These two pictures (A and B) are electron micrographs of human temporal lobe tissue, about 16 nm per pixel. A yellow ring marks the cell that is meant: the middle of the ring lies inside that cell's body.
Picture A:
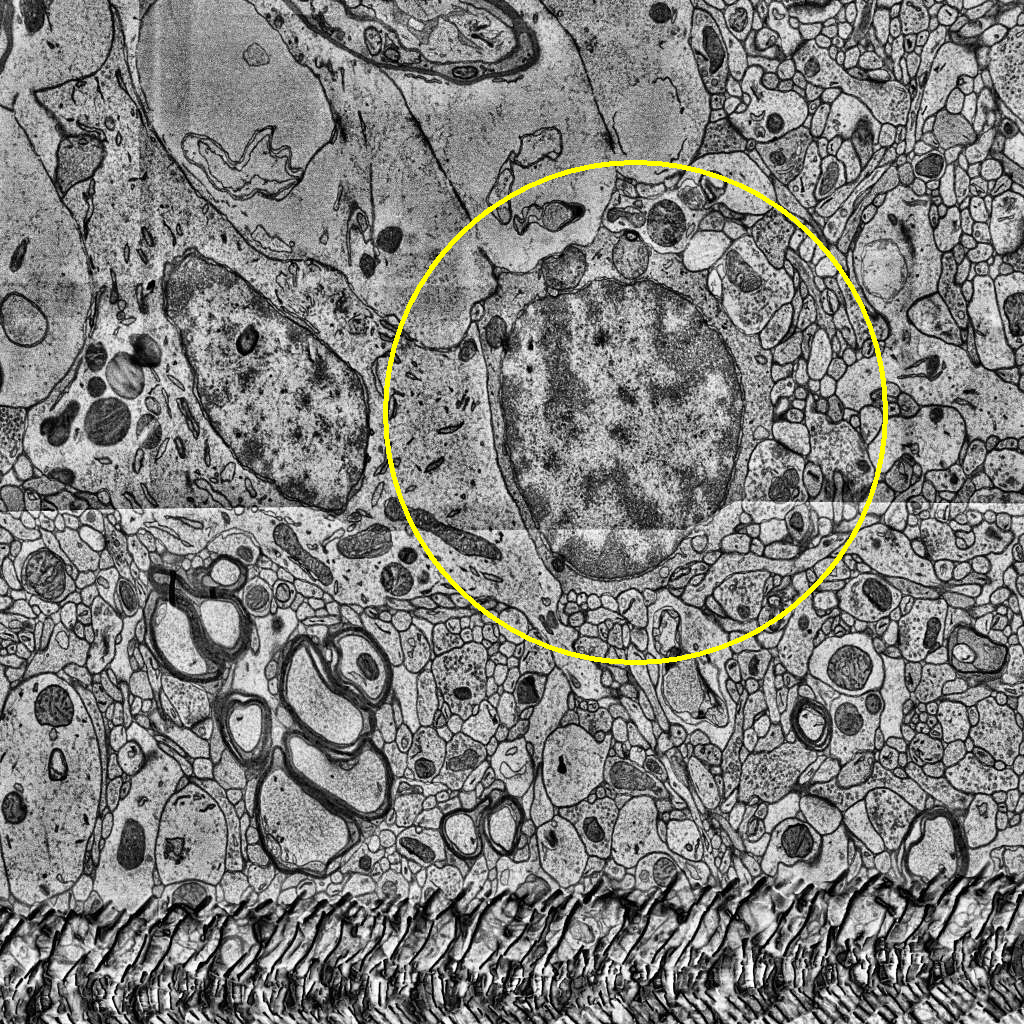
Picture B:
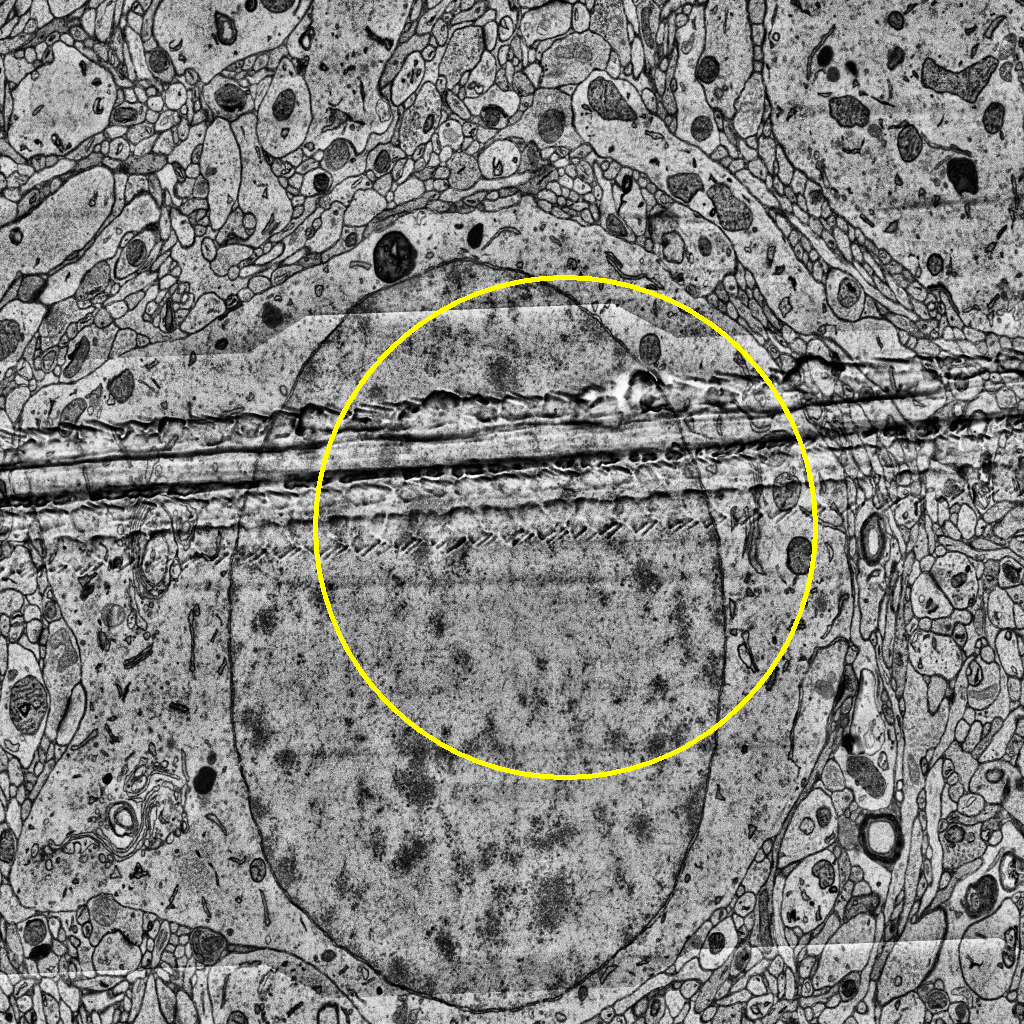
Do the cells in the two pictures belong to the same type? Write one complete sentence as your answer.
No, the types are not the same, since picture A shows an oligodendrocyte and picture B a pyramidal neuron.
